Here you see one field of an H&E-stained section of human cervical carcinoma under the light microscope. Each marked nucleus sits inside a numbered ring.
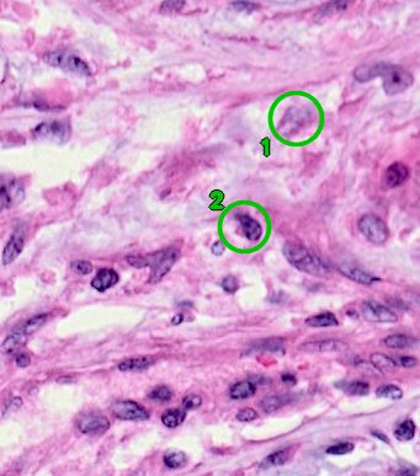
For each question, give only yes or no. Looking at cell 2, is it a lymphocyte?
yes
